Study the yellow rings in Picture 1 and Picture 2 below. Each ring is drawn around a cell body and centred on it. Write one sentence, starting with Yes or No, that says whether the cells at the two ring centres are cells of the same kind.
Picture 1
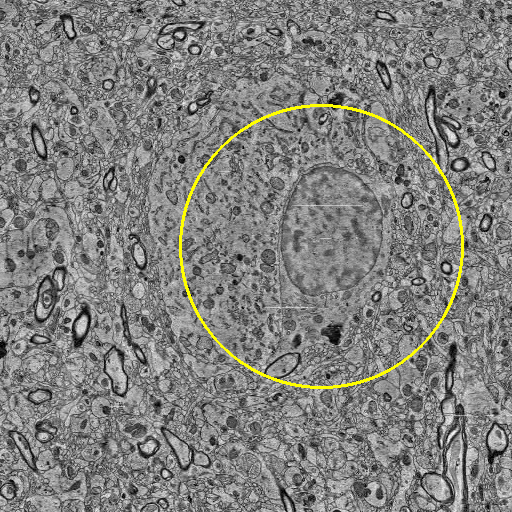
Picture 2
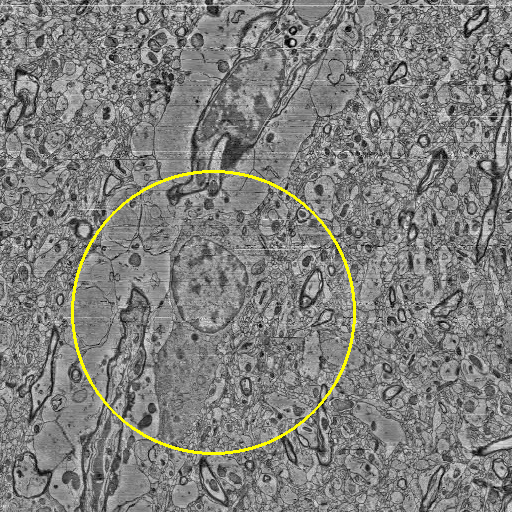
Yes, the cells at both ring centres are of the same kind.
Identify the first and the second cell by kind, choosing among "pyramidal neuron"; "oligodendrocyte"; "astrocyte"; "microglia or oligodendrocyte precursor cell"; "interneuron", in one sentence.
Each cell, in the first picture and the second, is an oligodendrocyte.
